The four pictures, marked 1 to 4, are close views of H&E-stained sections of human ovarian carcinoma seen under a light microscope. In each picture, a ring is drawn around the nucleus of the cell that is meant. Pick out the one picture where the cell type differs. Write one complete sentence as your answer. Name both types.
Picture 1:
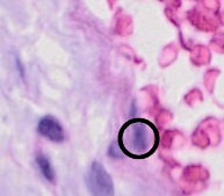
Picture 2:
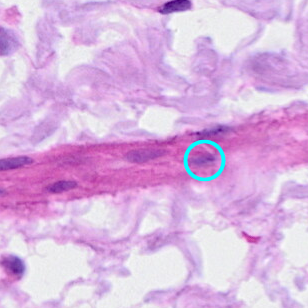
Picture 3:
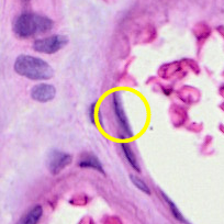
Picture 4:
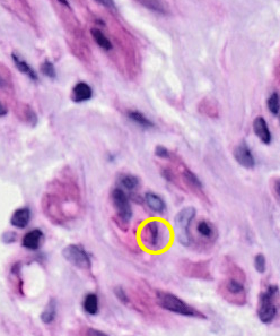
The different one is picture 2; it shows a smooth muscle cell, whereas all the others show endothelial cells.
